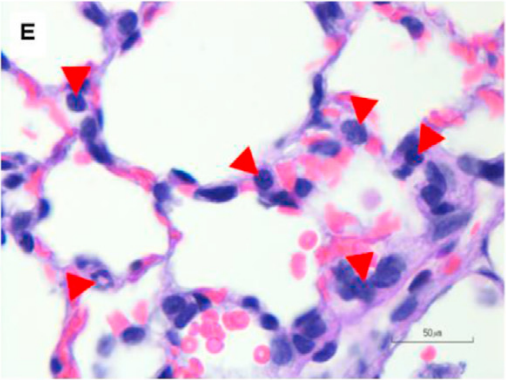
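Lung parenchyma in which alveolar septa are crowded with inflammatory cells bearing rounded, darkly stained nuclei, making the walls thicker and more cellular. Pink red blood cells lie in the septal capillaries and some free in an air space.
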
